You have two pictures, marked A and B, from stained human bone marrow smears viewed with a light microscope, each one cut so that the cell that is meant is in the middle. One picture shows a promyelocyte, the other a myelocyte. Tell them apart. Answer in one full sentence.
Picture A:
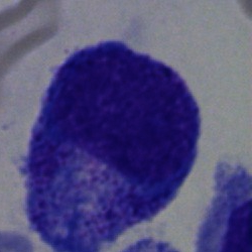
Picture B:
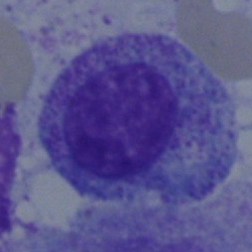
It is picture A that shows a promyelocyte, and picture B that shows a myelocyte.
